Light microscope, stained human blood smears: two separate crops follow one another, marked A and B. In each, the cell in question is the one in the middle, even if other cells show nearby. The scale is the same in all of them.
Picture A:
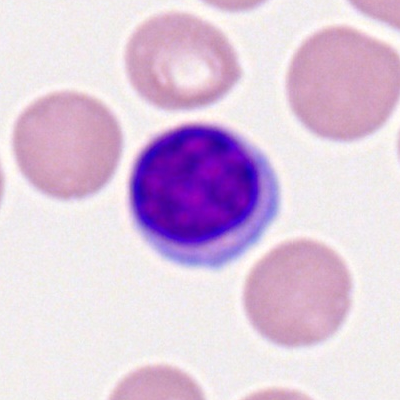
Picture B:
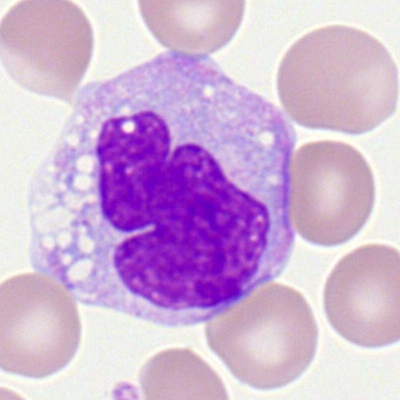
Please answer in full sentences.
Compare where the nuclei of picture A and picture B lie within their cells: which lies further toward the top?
In picture A the nucleus is shifted more toward the top.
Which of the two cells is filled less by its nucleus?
It is the cell in picture B that is filled less by its nucleus.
